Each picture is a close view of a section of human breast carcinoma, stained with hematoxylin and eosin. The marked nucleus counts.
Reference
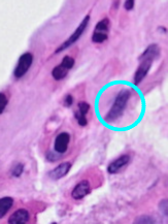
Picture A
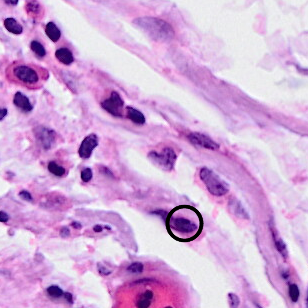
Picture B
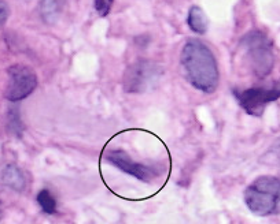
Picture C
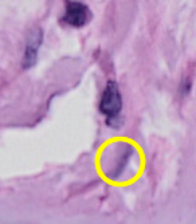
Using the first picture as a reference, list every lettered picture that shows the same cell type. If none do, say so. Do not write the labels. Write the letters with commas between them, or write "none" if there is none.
B, C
